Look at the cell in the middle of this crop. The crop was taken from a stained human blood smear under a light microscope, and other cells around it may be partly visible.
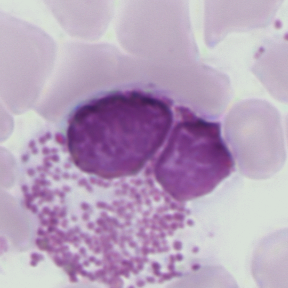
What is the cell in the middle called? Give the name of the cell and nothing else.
eosinophil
